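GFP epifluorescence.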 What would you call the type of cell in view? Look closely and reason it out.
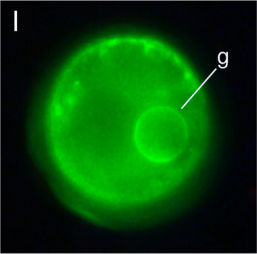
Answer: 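A single large round cell with a bright outer margin. A smaller round cell lies enclosed inside the larger one.
Hence: pollen grains.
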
